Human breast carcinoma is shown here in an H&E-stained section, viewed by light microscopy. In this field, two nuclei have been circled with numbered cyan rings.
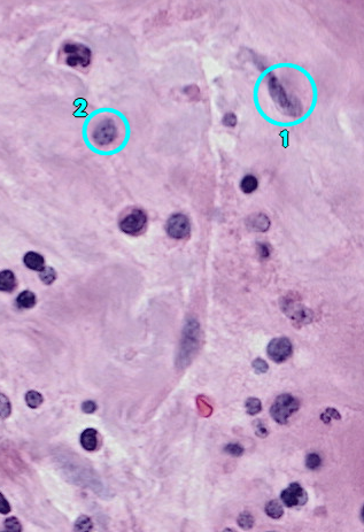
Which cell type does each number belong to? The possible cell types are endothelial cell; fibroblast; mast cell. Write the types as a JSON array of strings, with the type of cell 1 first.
["fibroblast", "mast cell"]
